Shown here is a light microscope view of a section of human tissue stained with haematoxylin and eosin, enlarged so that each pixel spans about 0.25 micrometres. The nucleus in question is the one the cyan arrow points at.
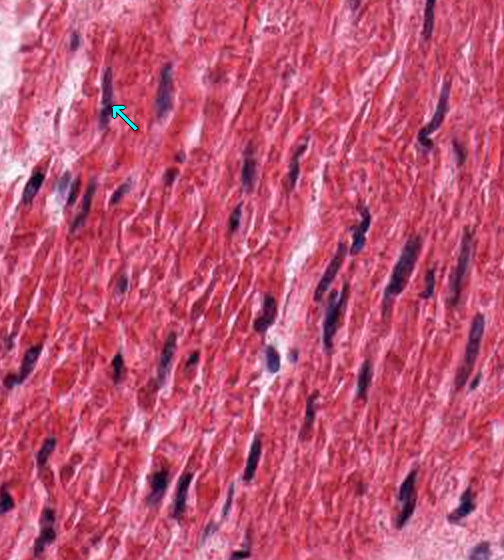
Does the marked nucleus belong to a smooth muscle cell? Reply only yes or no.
yes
